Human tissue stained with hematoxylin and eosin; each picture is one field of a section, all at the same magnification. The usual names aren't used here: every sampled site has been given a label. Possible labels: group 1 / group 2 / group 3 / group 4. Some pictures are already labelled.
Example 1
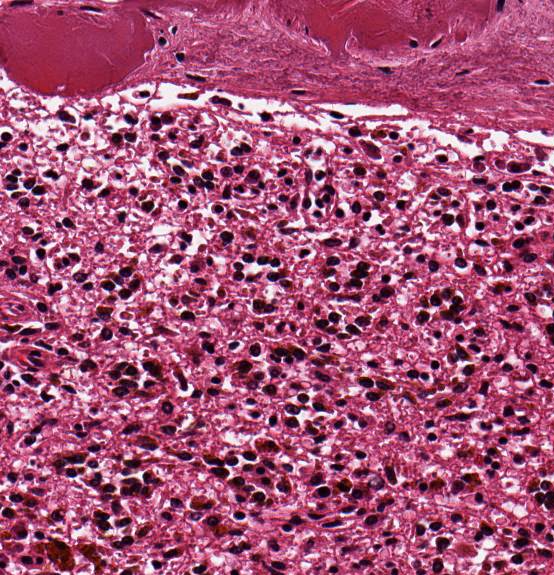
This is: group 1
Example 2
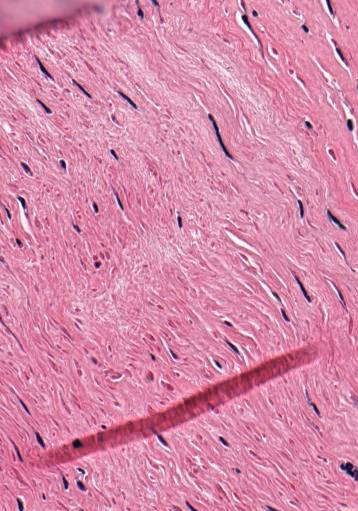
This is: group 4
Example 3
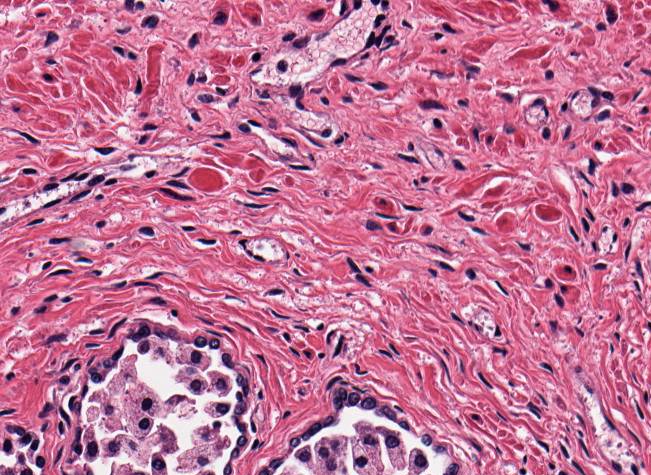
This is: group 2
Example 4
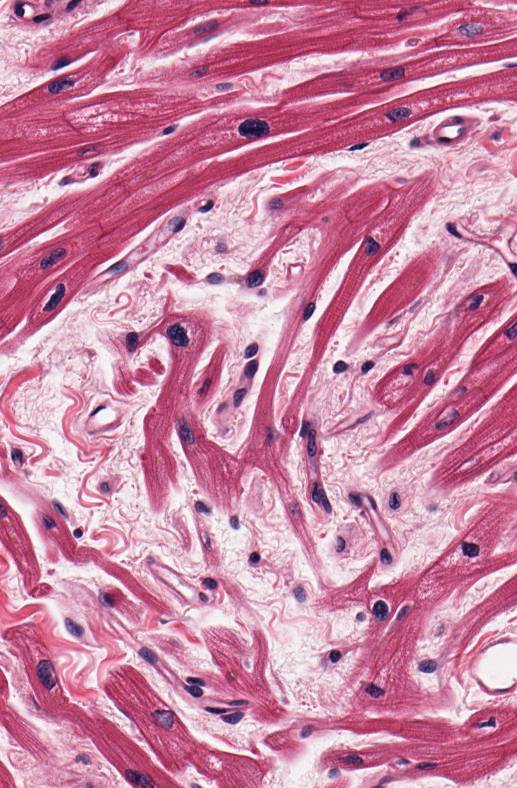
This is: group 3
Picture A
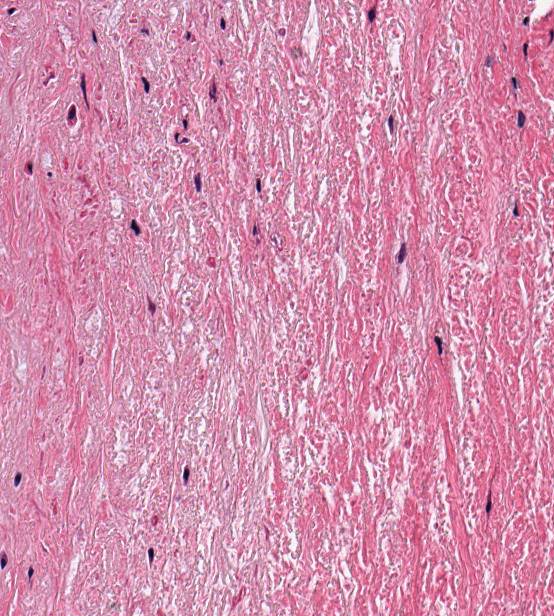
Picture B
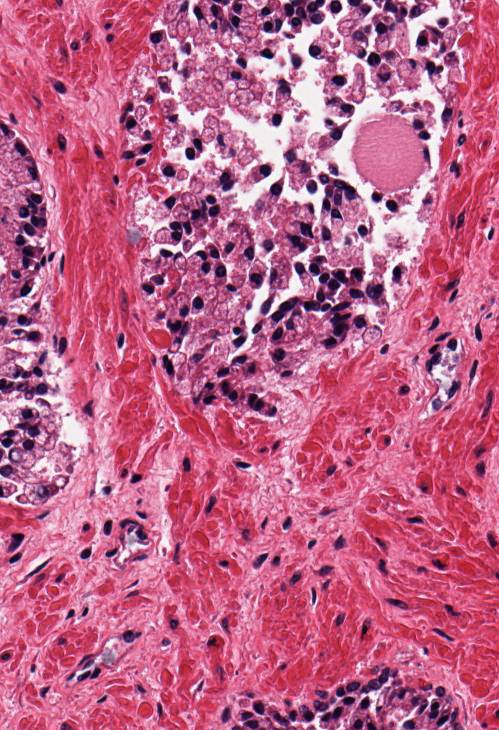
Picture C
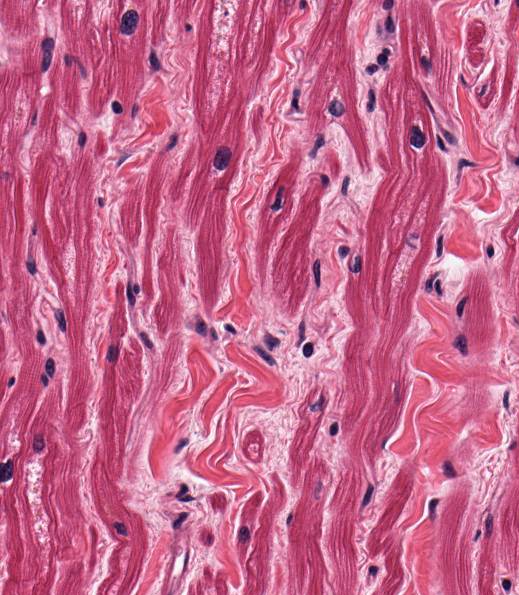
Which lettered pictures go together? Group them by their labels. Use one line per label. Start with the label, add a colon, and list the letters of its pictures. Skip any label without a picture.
group 2: B
group 3: C
group 4: A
